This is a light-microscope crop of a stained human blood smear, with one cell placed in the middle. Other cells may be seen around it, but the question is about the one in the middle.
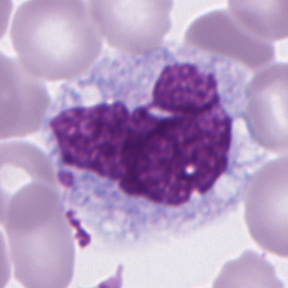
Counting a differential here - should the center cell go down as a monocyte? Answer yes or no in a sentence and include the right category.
Yes, the cell under consideration, the one in the middle, is a monocyte.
